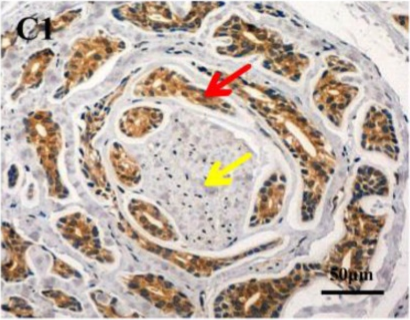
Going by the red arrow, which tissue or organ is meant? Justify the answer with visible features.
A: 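Tumor. The arrow points to strongly brown-stained epithelial nests with dark nuclei. The nests surround a central round bundle and form small lumina.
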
